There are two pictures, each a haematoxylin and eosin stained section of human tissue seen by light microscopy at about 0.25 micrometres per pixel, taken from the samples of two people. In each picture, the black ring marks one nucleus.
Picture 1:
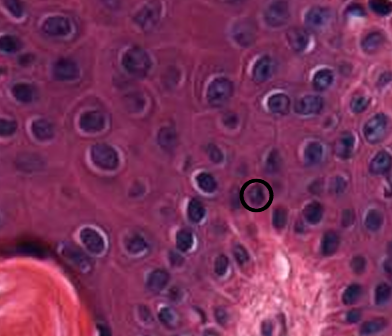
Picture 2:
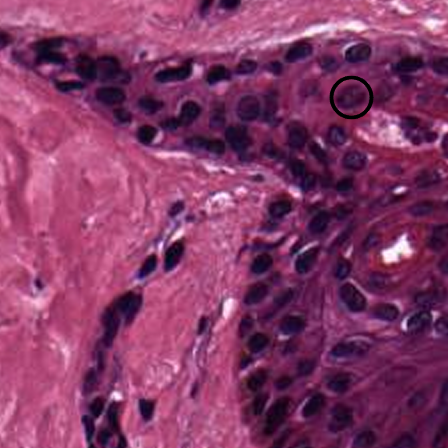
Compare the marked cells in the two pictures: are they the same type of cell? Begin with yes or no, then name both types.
Yes, both are keratinocytes.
